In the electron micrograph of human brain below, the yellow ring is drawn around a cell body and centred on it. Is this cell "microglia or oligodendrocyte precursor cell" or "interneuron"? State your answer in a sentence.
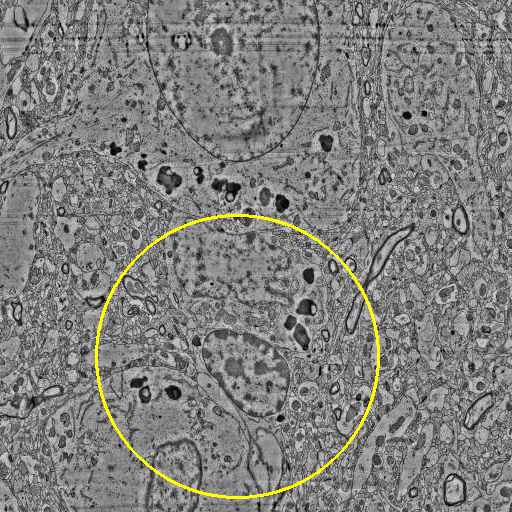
The cell in the middle of the ring is a microglial cell or oligodendrocyte precursor cell.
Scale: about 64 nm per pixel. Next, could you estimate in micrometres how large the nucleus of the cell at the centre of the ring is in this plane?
The nucleus is approximately 7 micrometers long by 4 micrometers wide in this plane.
